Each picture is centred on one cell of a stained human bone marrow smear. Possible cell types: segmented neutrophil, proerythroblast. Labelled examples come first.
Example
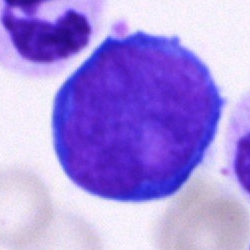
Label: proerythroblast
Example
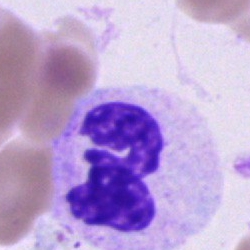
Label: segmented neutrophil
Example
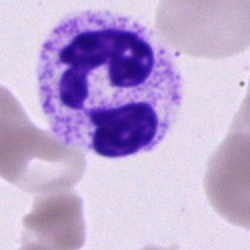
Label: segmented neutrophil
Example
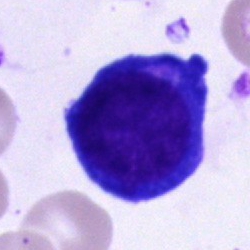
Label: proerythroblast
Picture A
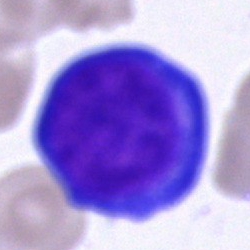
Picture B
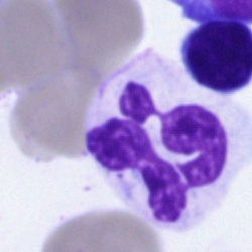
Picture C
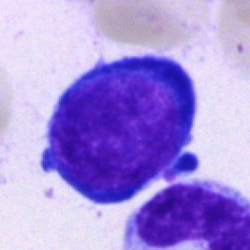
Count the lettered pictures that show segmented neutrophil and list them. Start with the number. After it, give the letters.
1, namely B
